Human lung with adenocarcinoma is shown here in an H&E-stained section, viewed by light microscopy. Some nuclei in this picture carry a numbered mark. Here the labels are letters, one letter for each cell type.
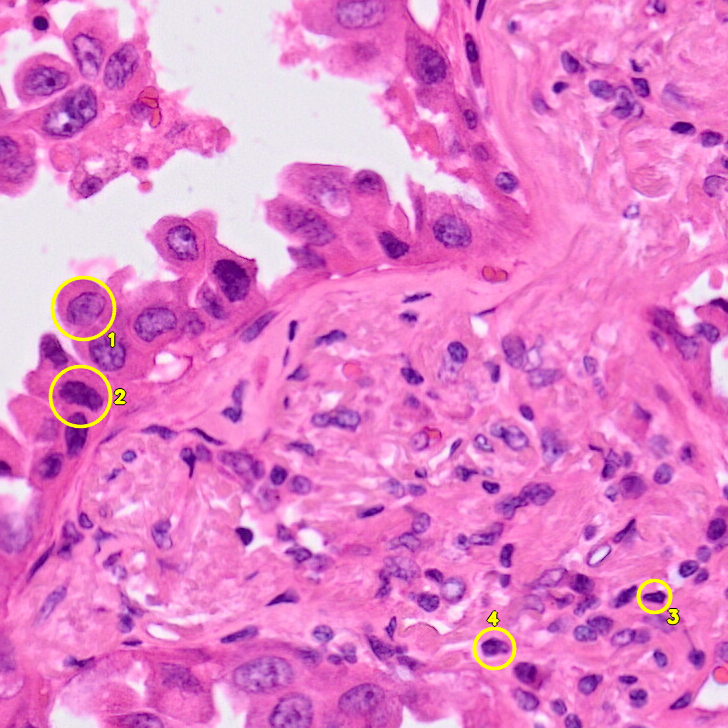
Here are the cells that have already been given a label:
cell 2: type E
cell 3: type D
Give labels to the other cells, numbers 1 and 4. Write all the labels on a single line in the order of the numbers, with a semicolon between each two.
type E; type D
